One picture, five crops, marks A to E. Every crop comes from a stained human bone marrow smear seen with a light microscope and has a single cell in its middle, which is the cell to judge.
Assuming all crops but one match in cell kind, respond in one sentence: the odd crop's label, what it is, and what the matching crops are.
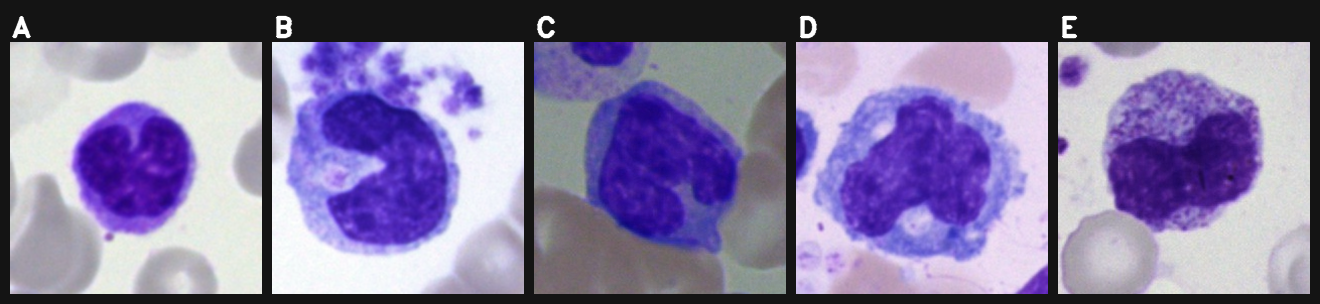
Crop E is the odd one out, being a metamyelocyte, while all the other crops show monocytes.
